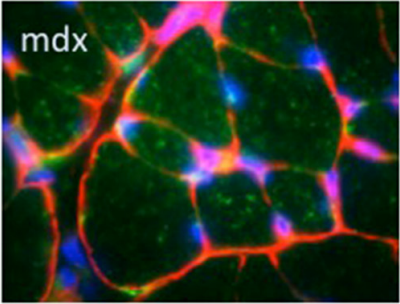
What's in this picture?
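This is a cross-section of skeletal muscle, with polygonal muscle fibres each bounded by a red outline. Inside the fibres the dark cytoplasm is sprinkled with many fine green puncta, spread fairly evenly through the fibre interiors. Blue nuclei sit mostly at the fibre margins and in the spaces between fibres, where the red outlines are thickened. The fibres vary in size and some interstitial regions appear widened.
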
